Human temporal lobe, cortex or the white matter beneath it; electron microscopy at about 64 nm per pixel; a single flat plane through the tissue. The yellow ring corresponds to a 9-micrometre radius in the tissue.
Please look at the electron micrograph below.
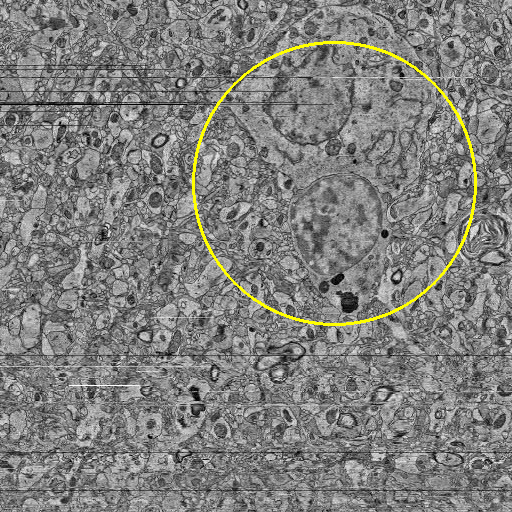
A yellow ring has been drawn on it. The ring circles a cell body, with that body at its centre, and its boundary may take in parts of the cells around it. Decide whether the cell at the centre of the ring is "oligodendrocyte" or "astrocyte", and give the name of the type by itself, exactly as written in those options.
oligodendrocyte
